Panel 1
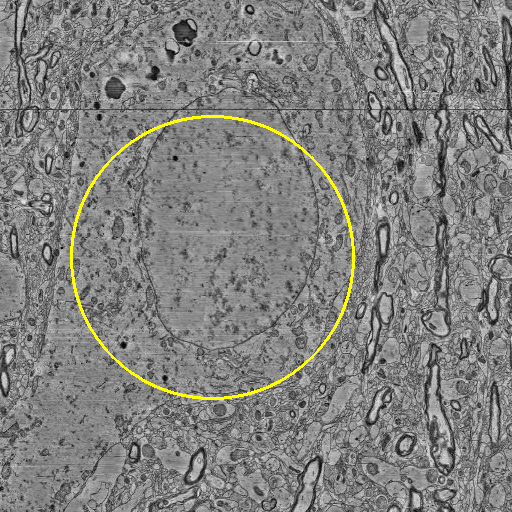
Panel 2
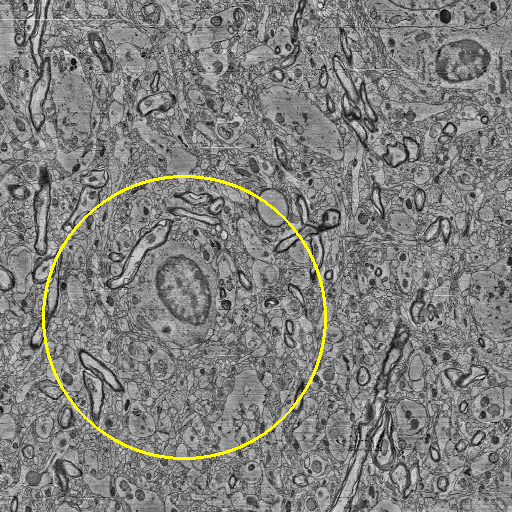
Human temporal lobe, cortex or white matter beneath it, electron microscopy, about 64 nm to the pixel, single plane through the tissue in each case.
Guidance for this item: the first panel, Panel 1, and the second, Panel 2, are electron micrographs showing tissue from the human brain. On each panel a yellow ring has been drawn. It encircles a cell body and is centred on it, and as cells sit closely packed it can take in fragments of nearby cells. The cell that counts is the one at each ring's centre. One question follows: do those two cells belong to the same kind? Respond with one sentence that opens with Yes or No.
No, the cells at the ring centres in Panel 1 and Panel 2 are of two kinds.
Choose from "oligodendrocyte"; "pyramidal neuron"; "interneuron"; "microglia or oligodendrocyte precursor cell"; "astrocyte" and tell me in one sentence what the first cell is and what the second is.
What the first ring is centred on is a pyramidal neuron; what the second ring is centred on is an oligodendrocyte.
